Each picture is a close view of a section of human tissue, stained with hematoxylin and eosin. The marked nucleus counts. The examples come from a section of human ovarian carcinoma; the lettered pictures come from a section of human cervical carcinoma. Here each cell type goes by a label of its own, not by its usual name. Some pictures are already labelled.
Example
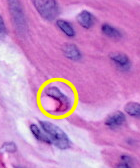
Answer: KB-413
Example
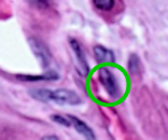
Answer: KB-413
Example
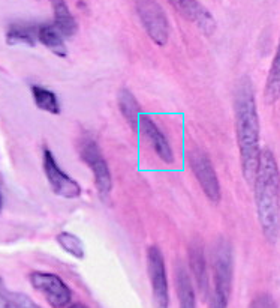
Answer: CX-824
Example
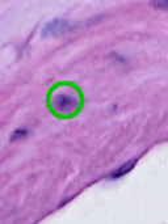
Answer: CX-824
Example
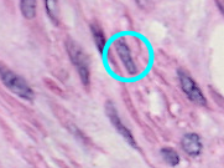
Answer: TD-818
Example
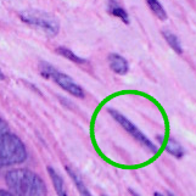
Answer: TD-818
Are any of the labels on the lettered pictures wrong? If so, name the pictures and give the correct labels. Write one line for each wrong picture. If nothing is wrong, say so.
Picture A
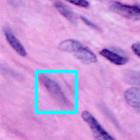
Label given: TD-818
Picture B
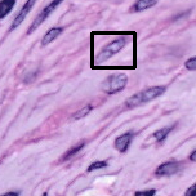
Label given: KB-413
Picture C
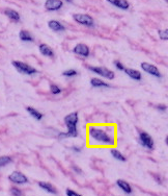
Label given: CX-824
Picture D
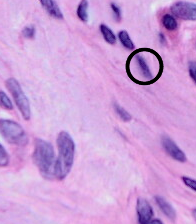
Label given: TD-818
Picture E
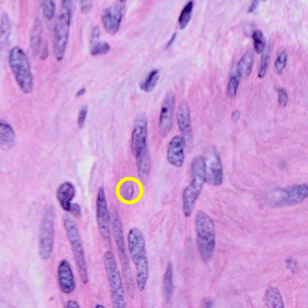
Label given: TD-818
Wrong: B (KB-413); correct: CX-824
Wrong: E (TD-818); correct: CX-824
